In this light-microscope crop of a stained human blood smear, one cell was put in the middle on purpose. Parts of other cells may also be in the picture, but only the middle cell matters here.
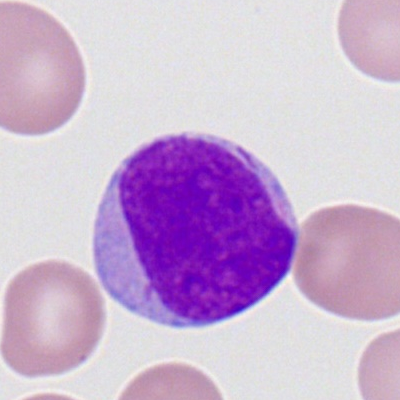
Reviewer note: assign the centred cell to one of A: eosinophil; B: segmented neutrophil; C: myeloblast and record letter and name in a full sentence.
Option C, which names the central cell as a myeloblast, is correct.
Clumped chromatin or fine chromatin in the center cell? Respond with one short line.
Its nuclear chromatin is gathered into coarse clumps.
